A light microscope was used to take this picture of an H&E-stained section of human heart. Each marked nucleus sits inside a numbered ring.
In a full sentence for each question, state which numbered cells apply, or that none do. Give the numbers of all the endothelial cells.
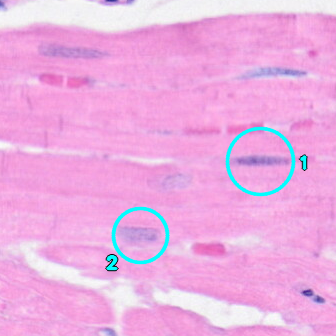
Only the cell numbered 1 qualifies as an endothelial cell among the marked cells.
